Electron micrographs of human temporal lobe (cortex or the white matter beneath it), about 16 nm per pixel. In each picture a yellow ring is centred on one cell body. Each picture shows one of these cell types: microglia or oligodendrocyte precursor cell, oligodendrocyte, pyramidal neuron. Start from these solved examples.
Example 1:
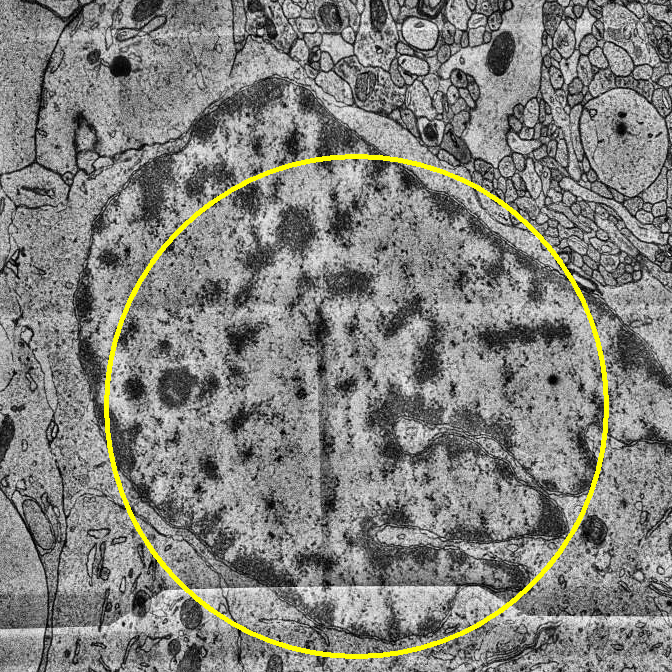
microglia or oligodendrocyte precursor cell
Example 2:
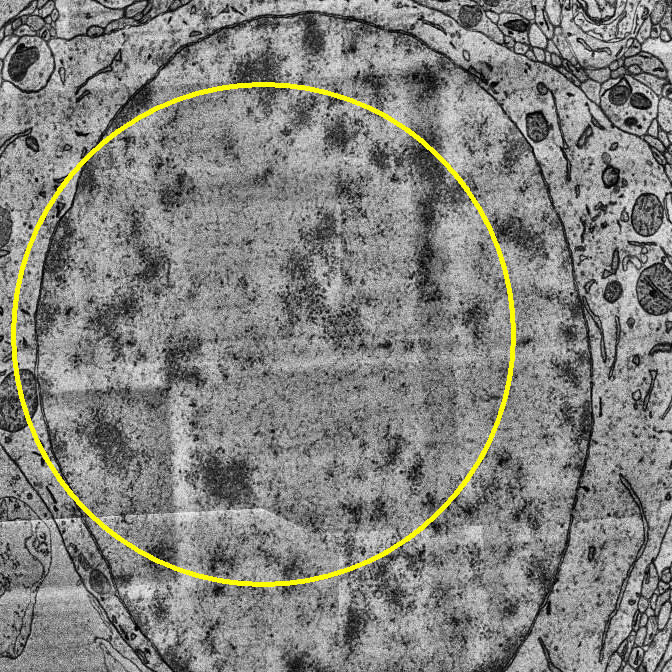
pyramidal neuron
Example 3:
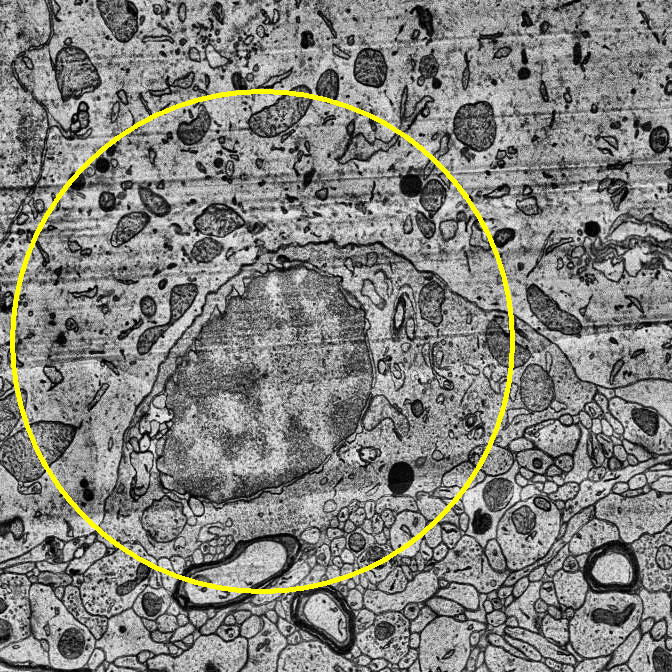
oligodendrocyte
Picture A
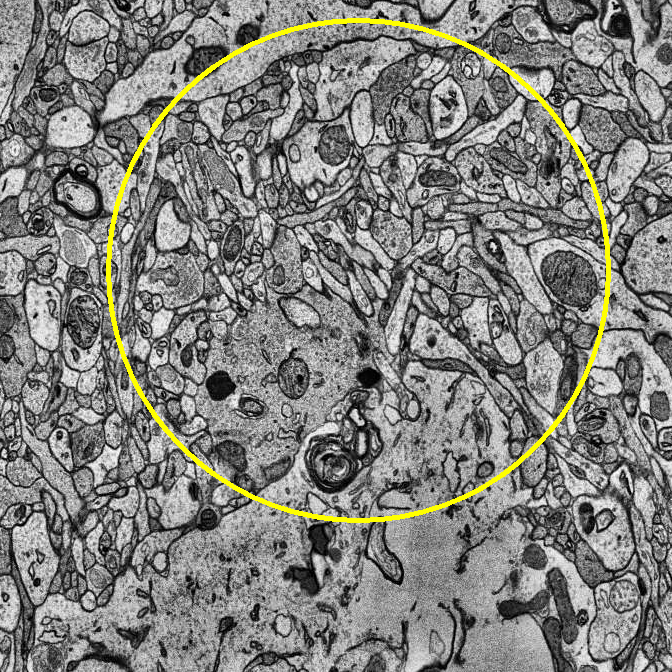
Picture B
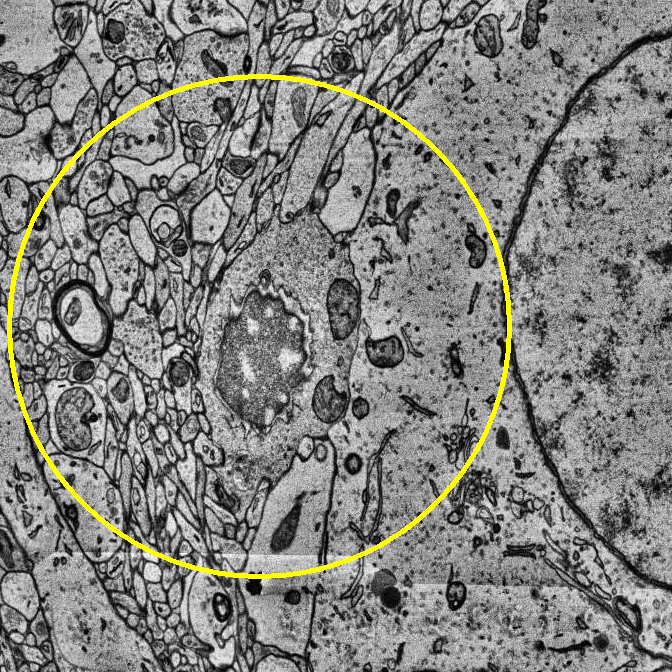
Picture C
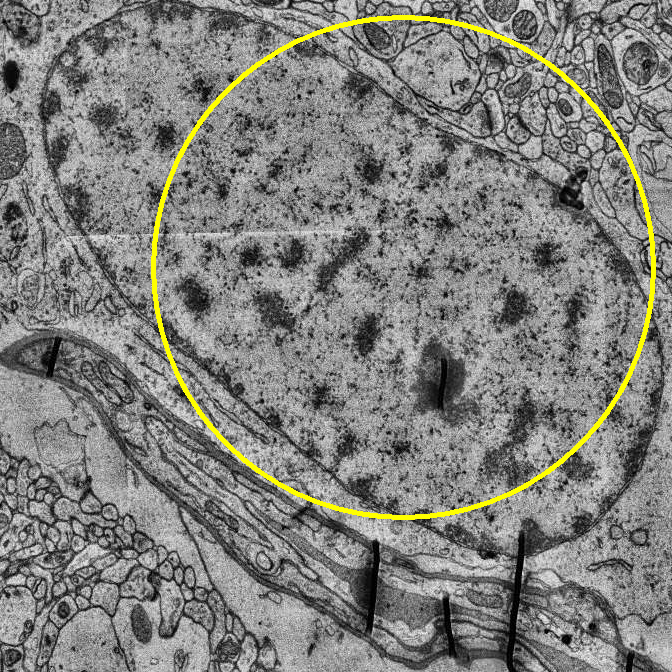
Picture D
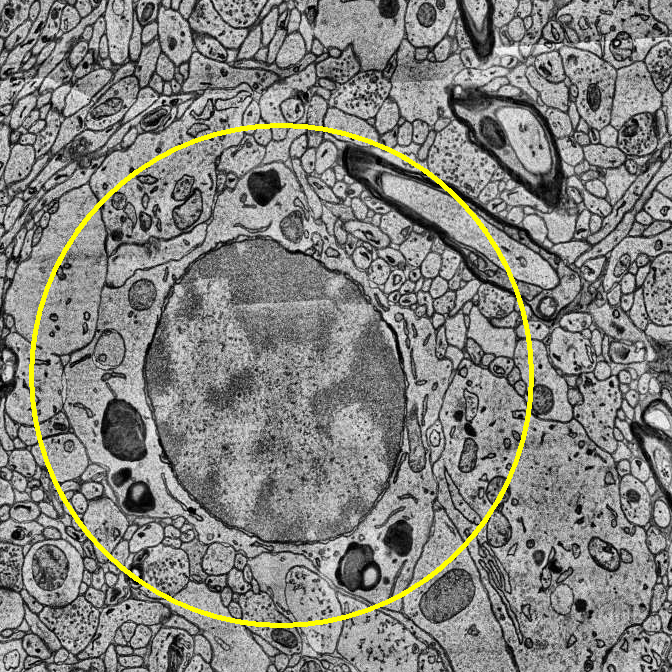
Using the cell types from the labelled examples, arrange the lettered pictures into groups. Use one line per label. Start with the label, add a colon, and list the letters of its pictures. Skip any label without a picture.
microglia or oligodendrocyte precursor cell: C, D
oligodendrocyte: A, B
